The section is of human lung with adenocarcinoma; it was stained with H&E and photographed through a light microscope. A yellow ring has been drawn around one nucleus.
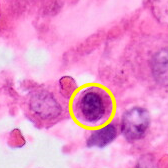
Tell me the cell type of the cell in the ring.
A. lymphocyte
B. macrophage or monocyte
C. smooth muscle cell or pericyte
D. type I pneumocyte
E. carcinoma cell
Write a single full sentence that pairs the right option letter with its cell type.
Of the options given, B is right: the cell in the ring is a macrophage or monocyte.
